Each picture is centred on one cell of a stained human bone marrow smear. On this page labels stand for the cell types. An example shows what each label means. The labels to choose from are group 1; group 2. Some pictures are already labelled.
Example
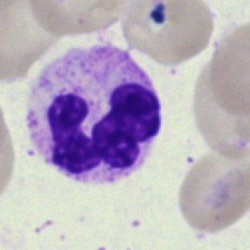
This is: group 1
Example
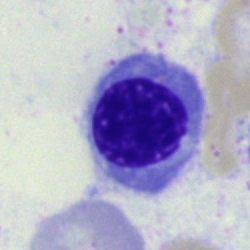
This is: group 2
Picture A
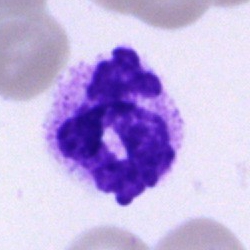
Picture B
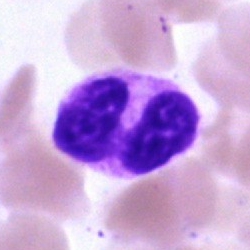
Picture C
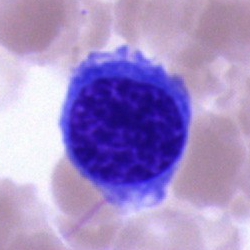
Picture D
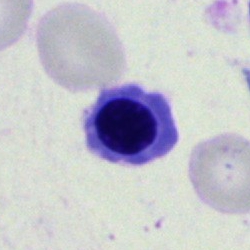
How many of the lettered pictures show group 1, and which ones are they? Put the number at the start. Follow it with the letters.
2, namely A, B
